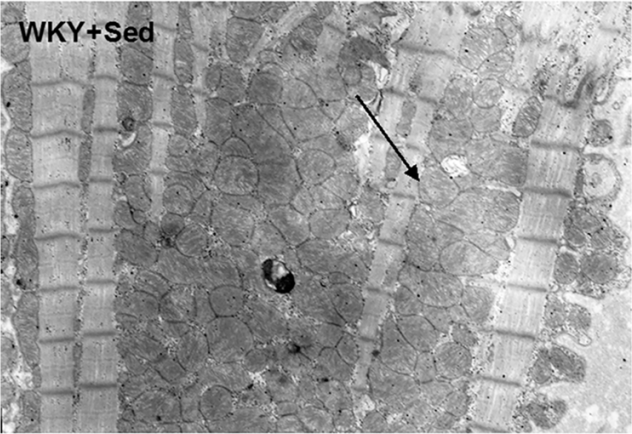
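This electron micrograph of heart muscle shows myocardial mitochondria packed between myofibrils. The myofibrils run as parallel bands with regularly spaced dark Z-lines marking out the sarcomeres. Between them lie dense clusters of oval to polygonal mitochondria pressed against one another, each bounded by a membrane and filled with closely spaced cristae. The mitochondria have an even, fairly dark matrix. A small dense round body lies among them.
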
